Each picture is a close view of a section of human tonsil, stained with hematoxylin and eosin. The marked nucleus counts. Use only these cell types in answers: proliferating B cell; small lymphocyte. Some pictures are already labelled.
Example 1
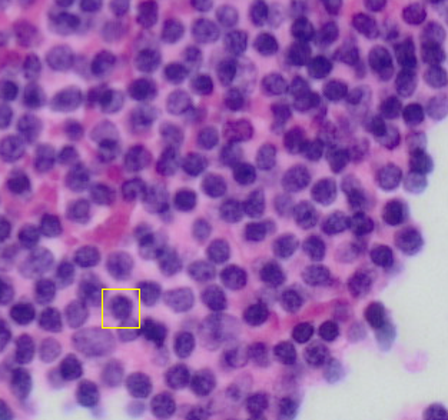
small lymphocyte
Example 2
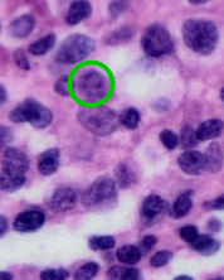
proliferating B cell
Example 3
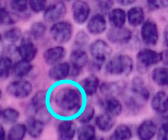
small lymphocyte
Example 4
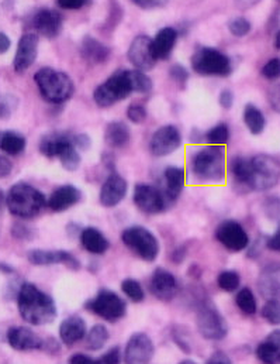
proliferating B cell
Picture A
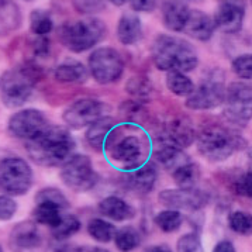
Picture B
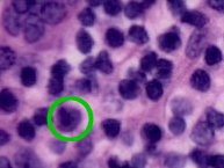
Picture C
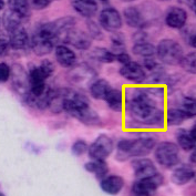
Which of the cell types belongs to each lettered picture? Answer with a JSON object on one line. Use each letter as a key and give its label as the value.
{"A": "proliferating B cell", "B": "proliferating B cell", "C": "proliferating B cell"}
